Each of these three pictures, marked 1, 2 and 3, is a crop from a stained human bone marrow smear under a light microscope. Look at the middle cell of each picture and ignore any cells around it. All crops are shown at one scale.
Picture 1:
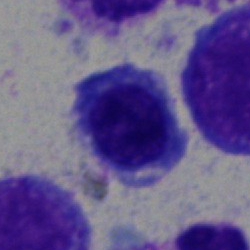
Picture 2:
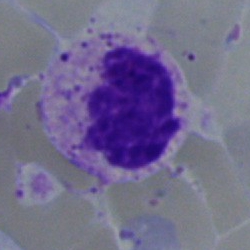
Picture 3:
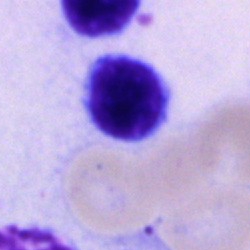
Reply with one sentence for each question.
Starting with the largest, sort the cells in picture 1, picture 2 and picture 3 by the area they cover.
The order is 2, 1, 3, beginning with the largest.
